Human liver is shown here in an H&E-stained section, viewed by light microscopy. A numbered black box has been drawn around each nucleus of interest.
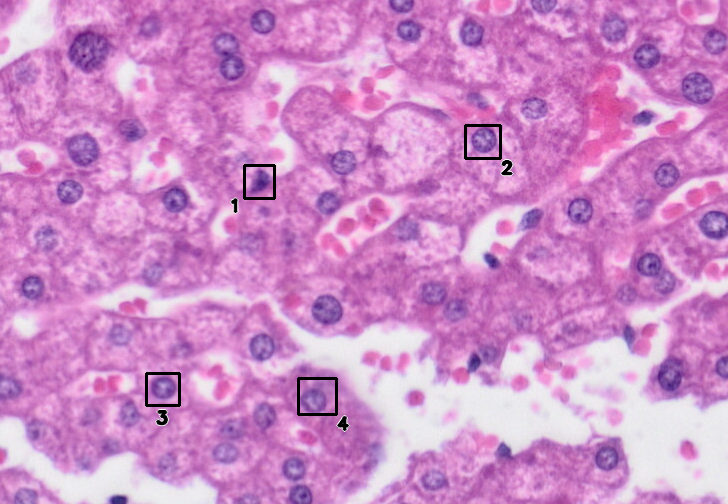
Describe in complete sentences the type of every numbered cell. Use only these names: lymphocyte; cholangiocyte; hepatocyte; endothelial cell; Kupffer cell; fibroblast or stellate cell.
Cell 1 is a fibroblast or stellate cell. Cells 2, 3 and 4 are hepatocytes.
